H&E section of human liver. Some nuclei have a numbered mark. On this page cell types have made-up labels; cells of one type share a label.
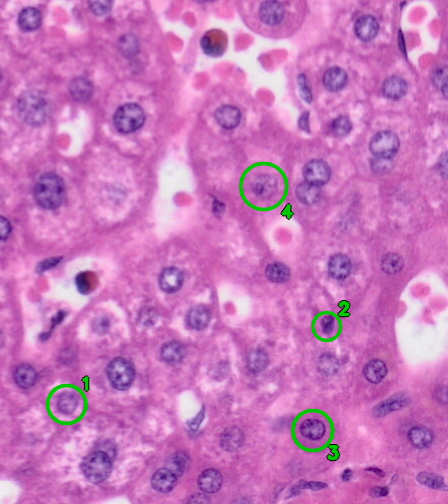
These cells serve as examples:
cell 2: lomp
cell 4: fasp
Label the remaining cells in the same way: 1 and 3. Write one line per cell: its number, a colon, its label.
1: fasp
3: fasp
